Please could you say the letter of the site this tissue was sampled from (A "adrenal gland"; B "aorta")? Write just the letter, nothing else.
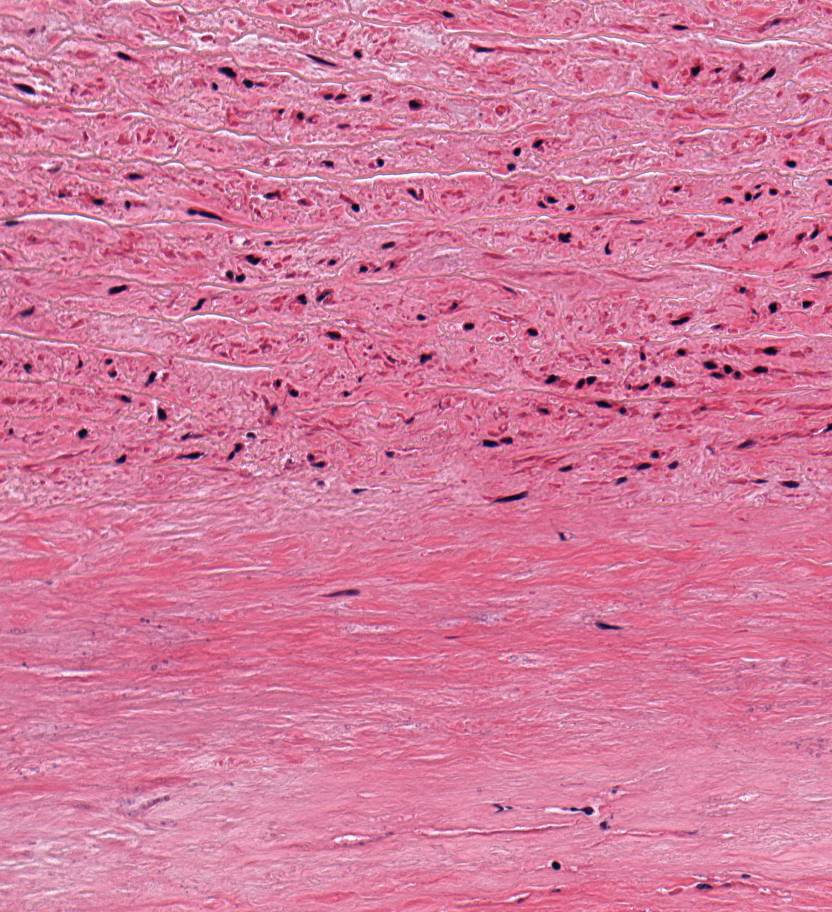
B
